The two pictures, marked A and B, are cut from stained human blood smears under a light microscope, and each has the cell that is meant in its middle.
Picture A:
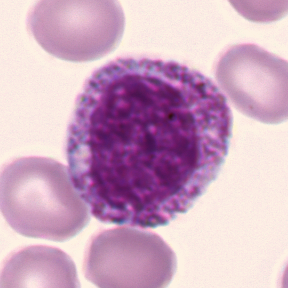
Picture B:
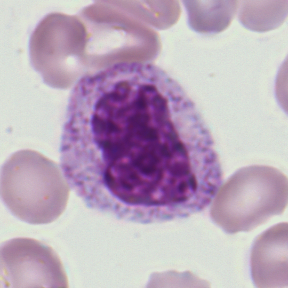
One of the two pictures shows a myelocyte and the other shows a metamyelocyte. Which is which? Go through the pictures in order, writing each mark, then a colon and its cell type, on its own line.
A: myelocyte
B: metamyelocyte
